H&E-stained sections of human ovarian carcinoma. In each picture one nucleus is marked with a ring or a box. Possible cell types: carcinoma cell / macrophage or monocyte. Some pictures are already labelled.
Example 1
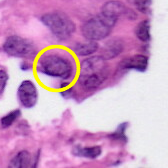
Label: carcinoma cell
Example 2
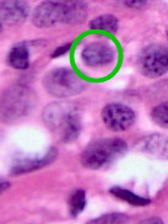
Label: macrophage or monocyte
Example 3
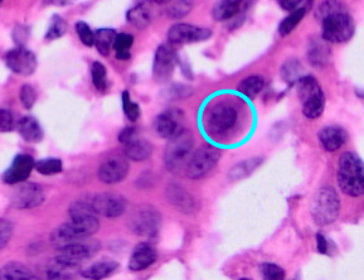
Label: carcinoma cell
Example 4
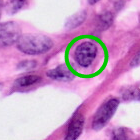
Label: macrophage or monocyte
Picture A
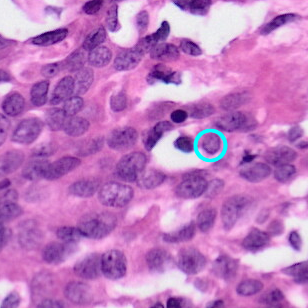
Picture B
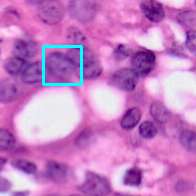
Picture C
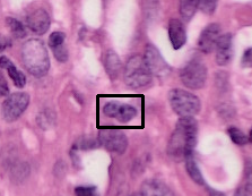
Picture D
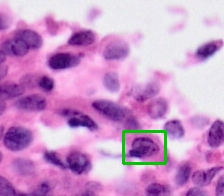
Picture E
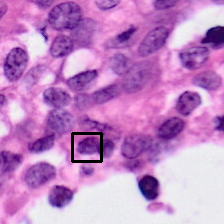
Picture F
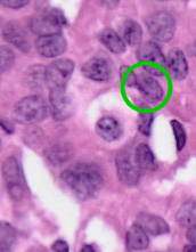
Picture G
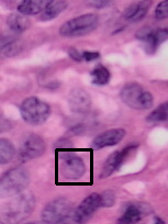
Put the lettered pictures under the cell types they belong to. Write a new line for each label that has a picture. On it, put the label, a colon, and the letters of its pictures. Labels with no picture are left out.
carcinoma cell: B, E, F
macrophage or monocyte: A, C, D, G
